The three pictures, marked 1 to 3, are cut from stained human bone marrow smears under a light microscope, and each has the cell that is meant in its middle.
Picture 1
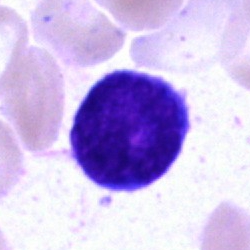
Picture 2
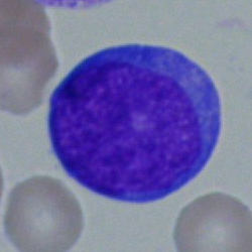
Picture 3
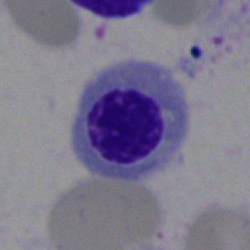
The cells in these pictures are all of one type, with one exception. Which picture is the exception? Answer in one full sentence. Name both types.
All pictures except 3 show blasts; picture 3 shows an erythroblast.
